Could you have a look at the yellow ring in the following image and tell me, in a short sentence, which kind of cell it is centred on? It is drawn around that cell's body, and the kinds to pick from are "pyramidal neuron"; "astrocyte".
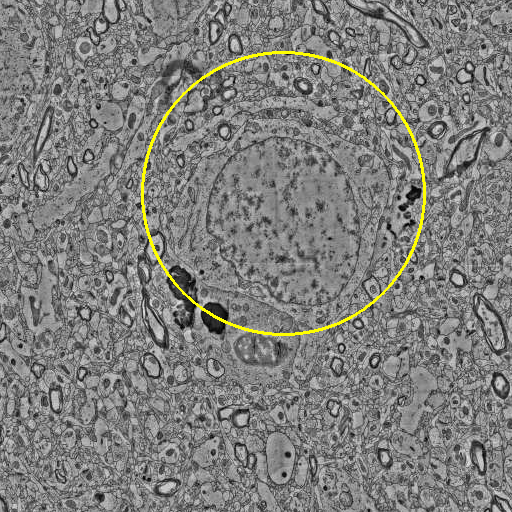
The ring is centred on the body of a pyramidal neuron.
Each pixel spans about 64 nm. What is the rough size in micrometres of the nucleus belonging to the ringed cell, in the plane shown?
About 11 by 9 micrometres in this plane.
